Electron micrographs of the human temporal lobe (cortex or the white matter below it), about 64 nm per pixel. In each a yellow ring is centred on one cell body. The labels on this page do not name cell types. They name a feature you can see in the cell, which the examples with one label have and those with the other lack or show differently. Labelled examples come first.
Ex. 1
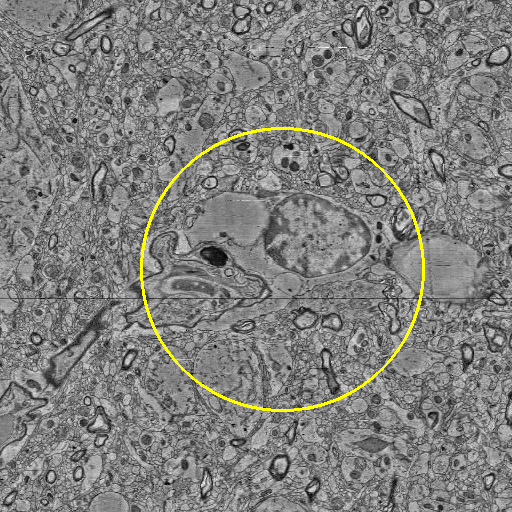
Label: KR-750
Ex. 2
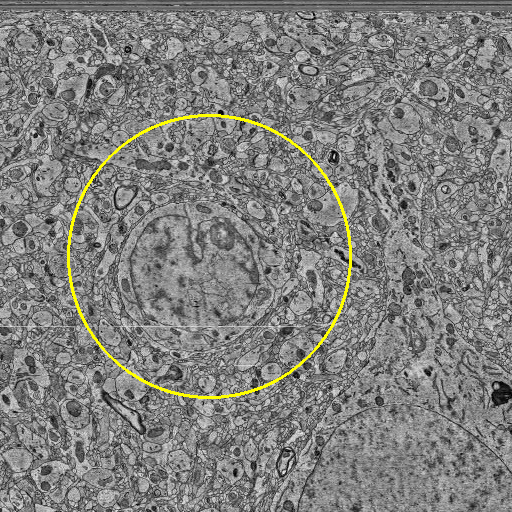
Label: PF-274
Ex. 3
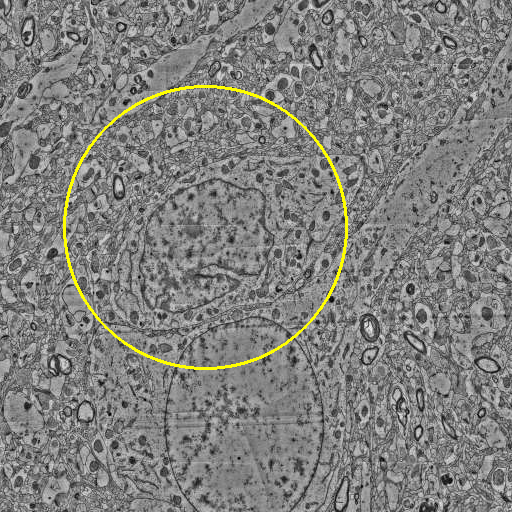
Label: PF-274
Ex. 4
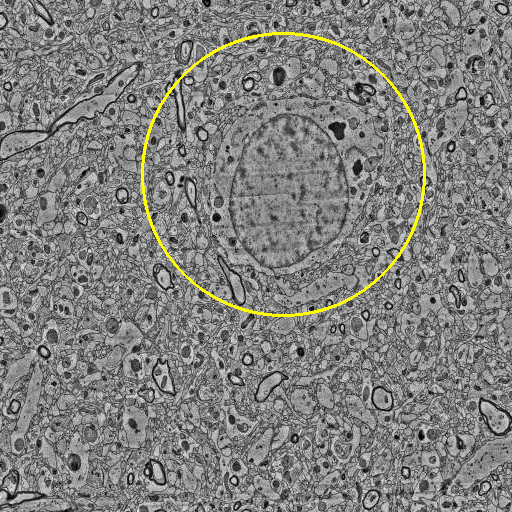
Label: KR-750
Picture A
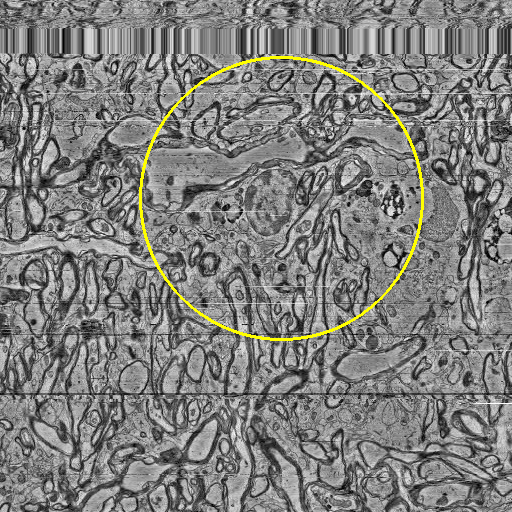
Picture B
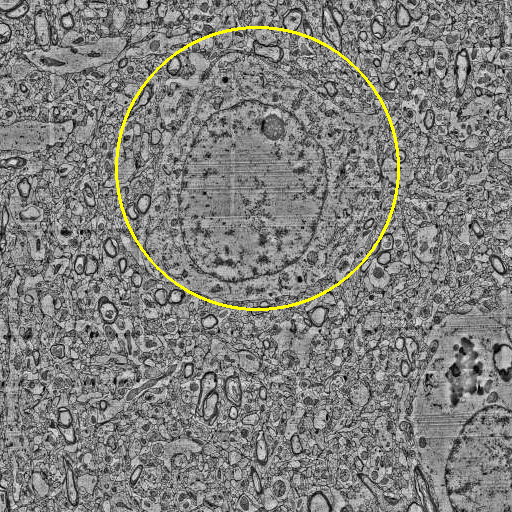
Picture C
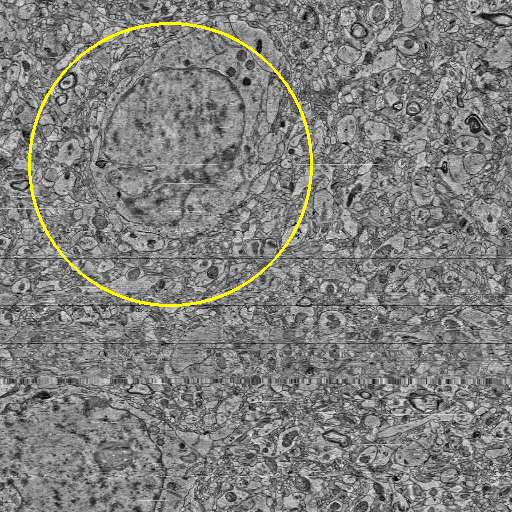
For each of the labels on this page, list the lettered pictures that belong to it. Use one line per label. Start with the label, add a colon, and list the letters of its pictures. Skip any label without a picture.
KR-750: A, B
PF-274: C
